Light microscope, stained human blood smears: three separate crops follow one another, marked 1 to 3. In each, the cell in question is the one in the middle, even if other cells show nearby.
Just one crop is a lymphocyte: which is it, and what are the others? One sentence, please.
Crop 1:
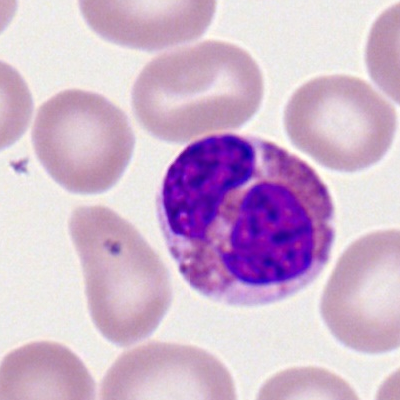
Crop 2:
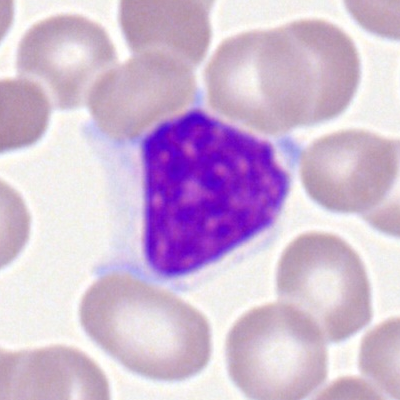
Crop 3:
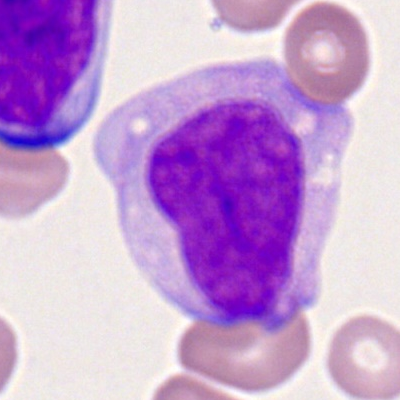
In crop 2 there is a lymphocyte, while crop 1 is an eosinophil and crop 3 is a monocyte.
